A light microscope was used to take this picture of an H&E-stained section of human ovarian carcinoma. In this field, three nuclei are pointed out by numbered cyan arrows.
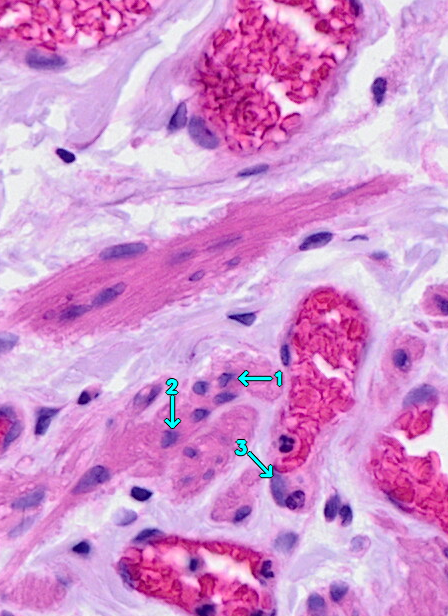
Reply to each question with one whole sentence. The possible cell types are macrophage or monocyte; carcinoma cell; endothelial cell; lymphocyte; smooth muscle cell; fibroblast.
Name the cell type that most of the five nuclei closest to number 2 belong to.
Smooth muscle cells account for more than half of the five nuclei nearest to number 2.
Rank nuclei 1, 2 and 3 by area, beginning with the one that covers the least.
The order from the smallest nucleus to the largest is 1, 2, 3.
